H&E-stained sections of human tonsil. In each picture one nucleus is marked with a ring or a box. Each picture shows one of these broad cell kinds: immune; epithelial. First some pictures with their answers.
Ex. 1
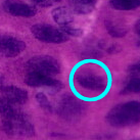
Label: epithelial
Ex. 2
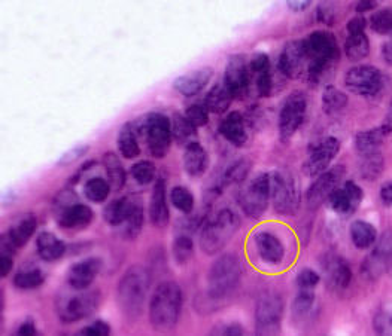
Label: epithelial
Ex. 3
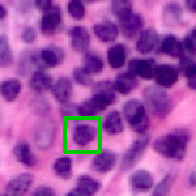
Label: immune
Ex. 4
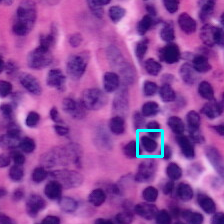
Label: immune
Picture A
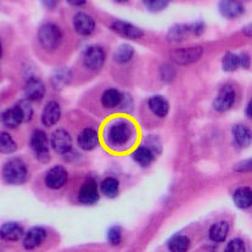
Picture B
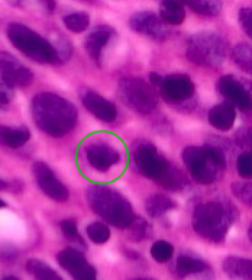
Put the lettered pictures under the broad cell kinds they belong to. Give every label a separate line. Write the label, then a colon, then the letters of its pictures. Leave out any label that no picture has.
immune: A
epithelial: B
